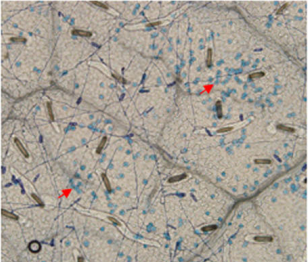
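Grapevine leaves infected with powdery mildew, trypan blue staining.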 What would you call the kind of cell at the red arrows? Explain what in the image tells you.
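Dead or dying mesophyll cells. The red arrows point to small round bodies stained light blue. Many such blue rounded bodies lie scattered and clustered across the leaf area.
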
